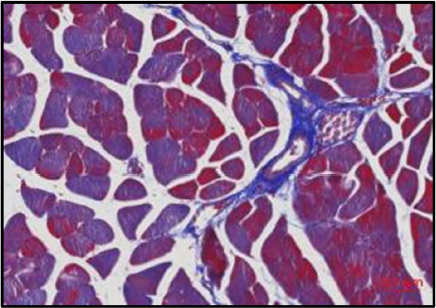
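Cross-section of skeletal muscle with polygonal myofibers of varied size, stained mottled red and purple-blue. The fibers are separated by wide white clefts. Thin blue strands extend from it between neighbouring fibers.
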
